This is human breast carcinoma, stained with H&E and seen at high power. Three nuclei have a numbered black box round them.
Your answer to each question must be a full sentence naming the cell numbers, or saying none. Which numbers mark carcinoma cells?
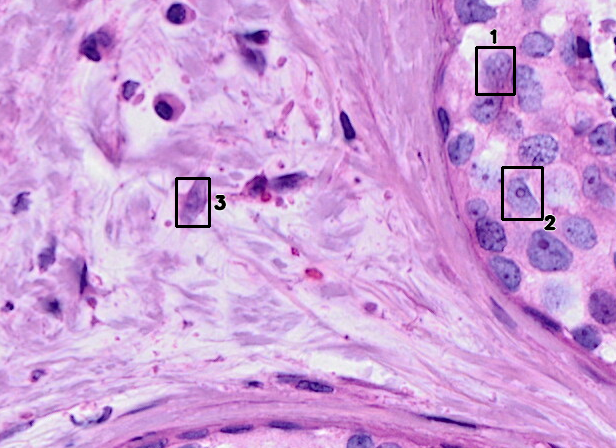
Within the section, cells numbered 1 and 2 are carcinoma cells.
